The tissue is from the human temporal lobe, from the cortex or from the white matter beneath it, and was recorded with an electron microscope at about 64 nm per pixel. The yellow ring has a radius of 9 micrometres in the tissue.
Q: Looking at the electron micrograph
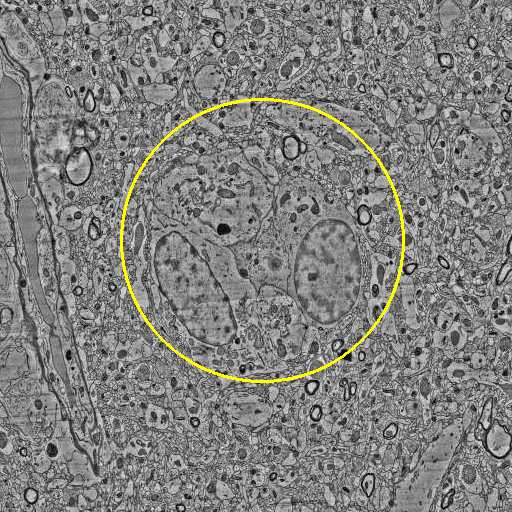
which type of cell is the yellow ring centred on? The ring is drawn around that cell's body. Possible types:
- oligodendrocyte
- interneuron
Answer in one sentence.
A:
The yellow ring is centred on an oligodendrocyte.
